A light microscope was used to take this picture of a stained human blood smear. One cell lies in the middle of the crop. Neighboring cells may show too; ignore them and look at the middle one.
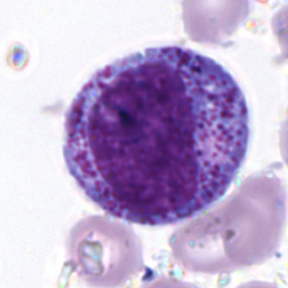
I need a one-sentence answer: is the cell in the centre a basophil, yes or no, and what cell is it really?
No, the central cell is a promyelocyte; it should not be labelled a basophil.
